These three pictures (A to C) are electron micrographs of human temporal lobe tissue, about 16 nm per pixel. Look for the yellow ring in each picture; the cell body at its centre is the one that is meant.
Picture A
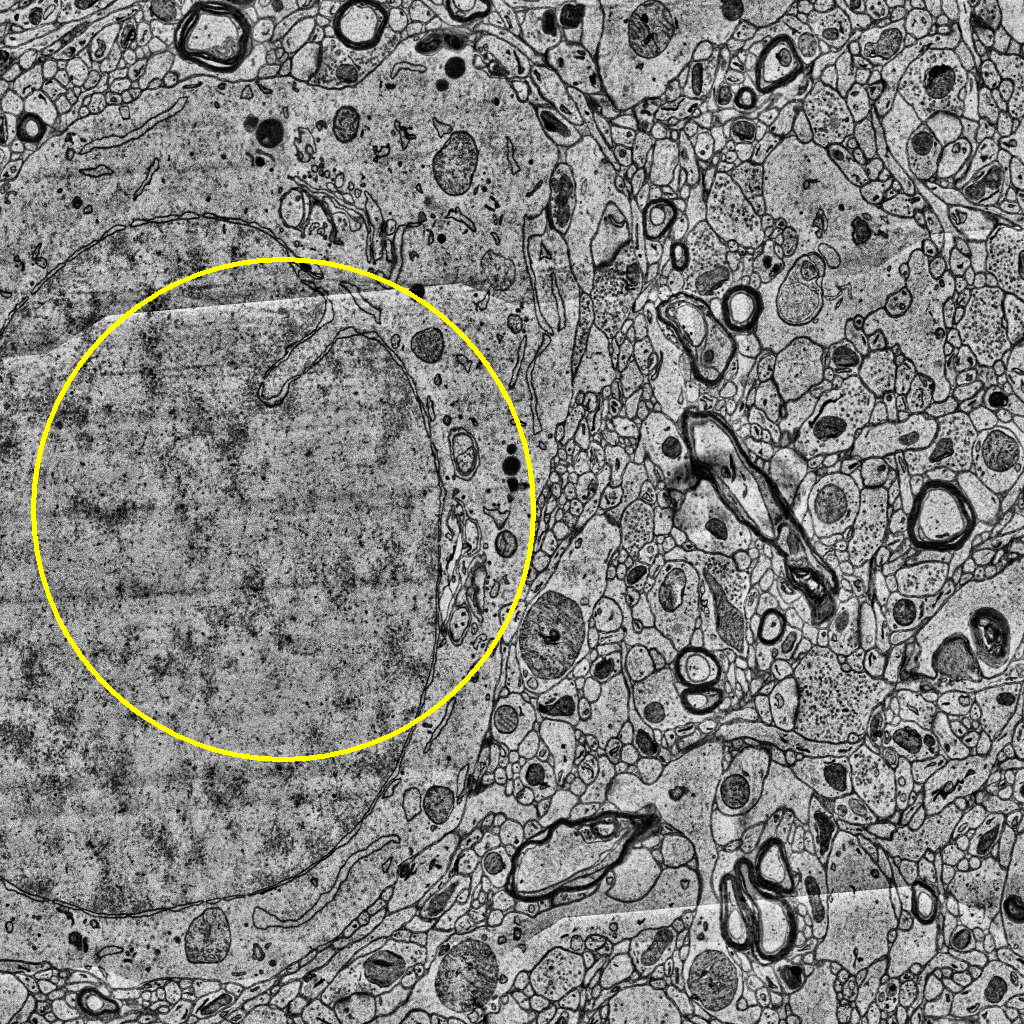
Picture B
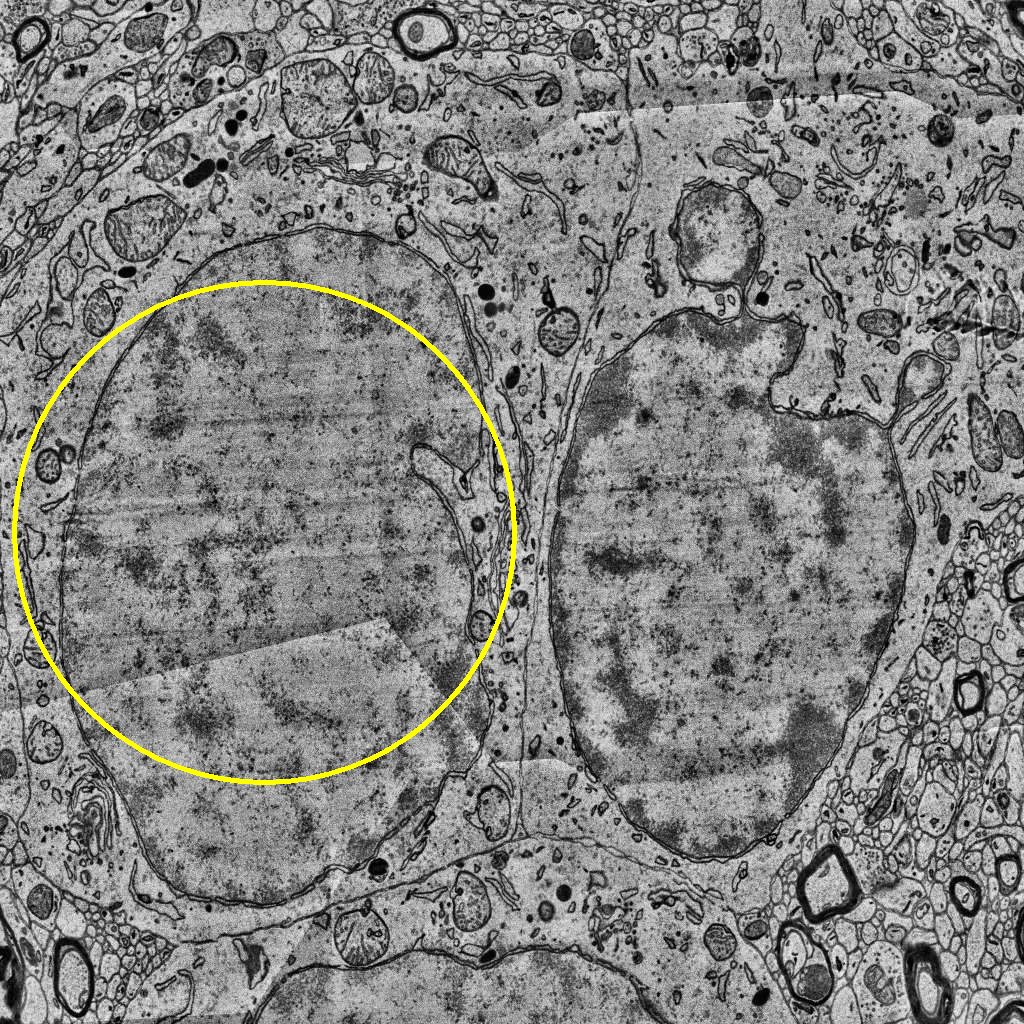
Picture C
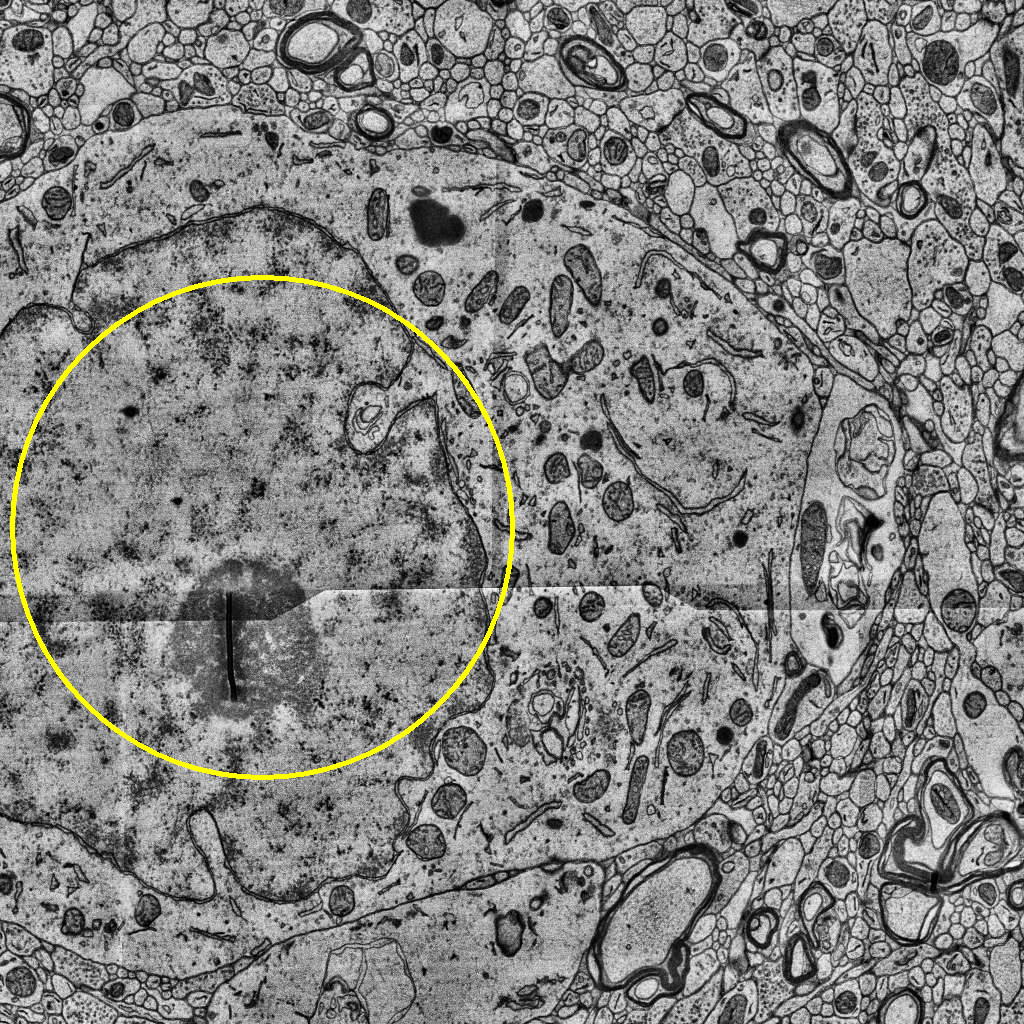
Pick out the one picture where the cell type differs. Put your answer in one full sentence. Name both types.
Picture B differs, because its cell is a pyramidal neuron and the rest are interneurons.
